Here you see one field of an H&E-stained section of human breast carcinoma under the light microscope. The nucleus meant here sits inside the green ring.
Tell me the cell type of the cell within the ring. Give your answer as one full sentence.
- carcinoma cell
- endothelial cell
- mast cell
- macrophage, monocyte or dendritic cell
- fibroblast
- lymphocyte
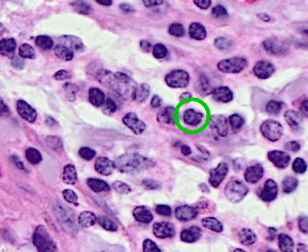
This is a lymphocyte.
